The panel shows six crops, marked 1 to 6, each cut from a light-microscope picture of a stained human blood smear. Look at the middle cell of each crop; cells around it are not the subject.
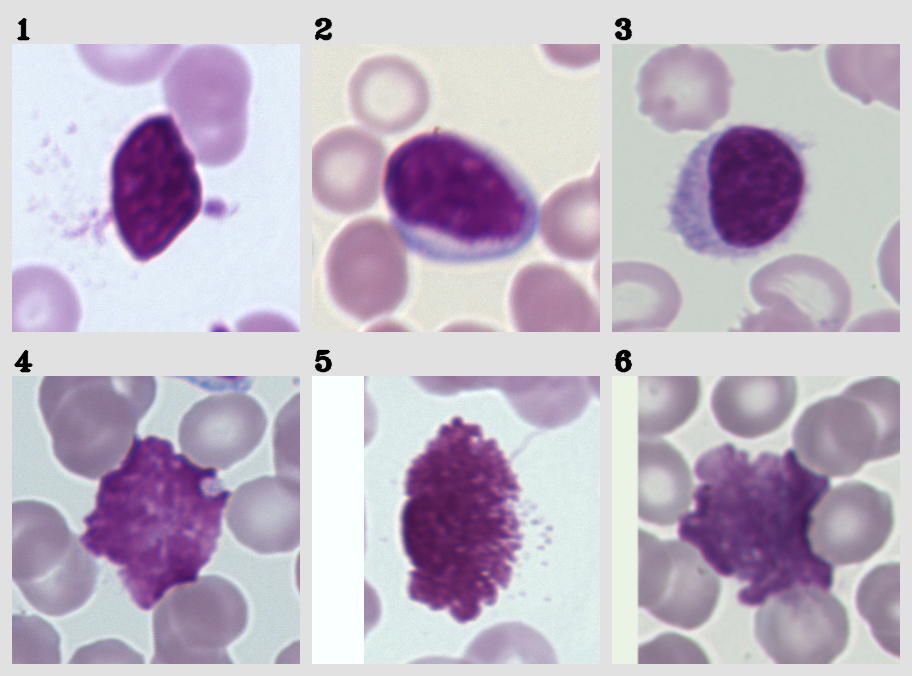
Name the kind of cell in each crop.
1: smudge cell
2: large granular lymphocyte
3: hairy cell
4: smudge cell
5: smudge cell
6: smudge cell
